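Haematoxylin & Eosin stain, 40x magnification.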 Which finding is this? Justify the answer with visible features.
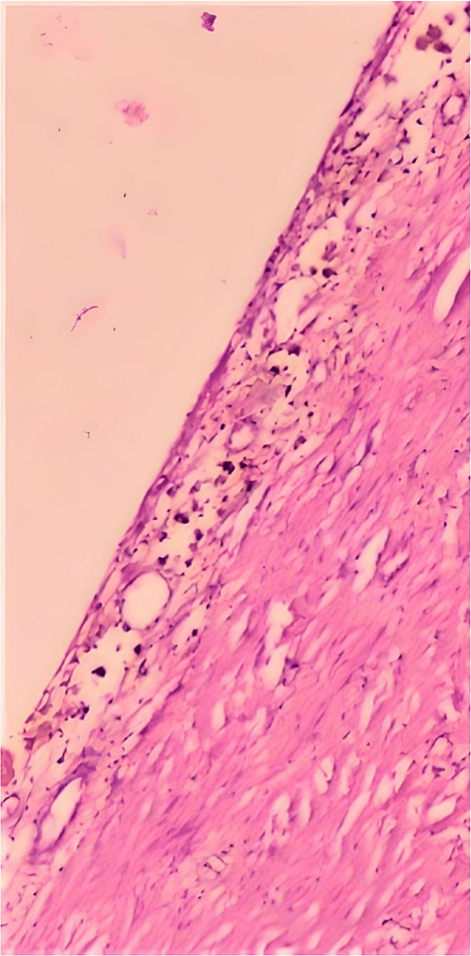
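Collagenous cyst wall without lining epithelium. Dense pink fibrous tissue forms a band along an empty space. The surface facing the empty space has no layer of epithelial cells. Scattered brown-pigmented cells lie near the surface.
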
